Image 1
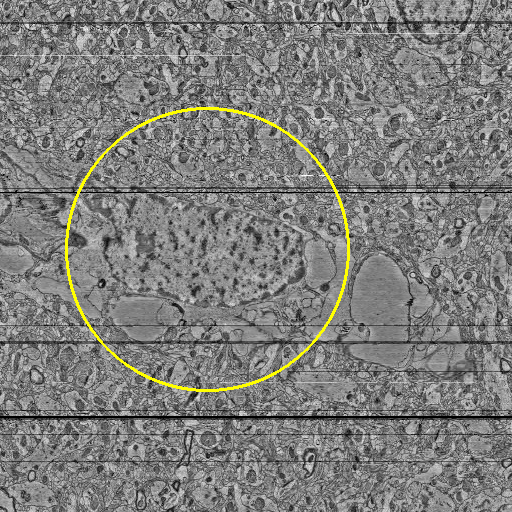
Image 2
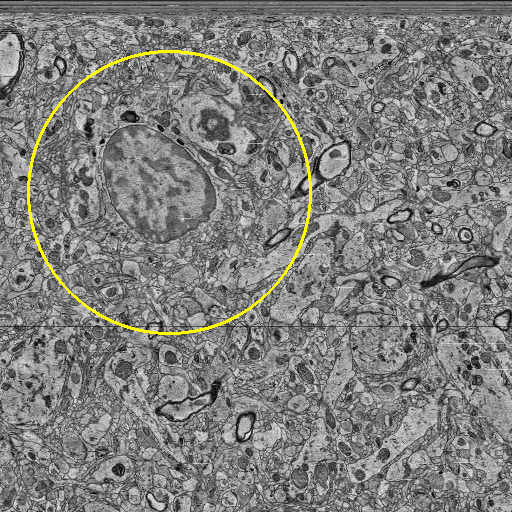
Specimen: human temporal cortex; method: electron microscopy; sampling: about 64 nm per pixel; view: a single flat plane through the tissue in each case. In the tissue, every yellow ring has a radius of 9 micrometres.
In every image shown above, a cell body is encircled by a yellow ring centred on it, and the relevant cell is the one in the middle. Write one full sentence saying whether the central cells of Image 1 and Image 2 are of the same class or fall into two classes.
The cell at the ring's centre in Image 1 and its counterpart in Image 2 are of the same class.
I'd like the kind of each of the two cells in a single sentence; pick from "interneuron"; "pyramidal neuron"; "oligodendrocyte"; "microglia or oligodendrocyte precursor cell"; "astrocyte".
Both rings mark a microglial cell or oligodendrocyte precursor cell, one in each picture.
